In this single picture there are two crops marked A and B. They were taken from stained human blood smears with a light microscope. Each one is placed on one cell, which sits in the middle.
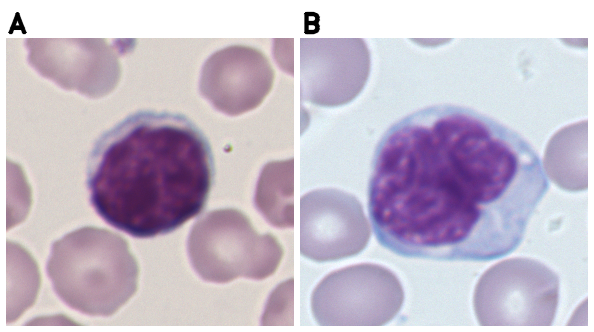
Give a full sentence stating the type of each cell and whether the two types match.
No, that is not right; crop A shows a typical lymphocyte and crop B shows a myeloblast.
